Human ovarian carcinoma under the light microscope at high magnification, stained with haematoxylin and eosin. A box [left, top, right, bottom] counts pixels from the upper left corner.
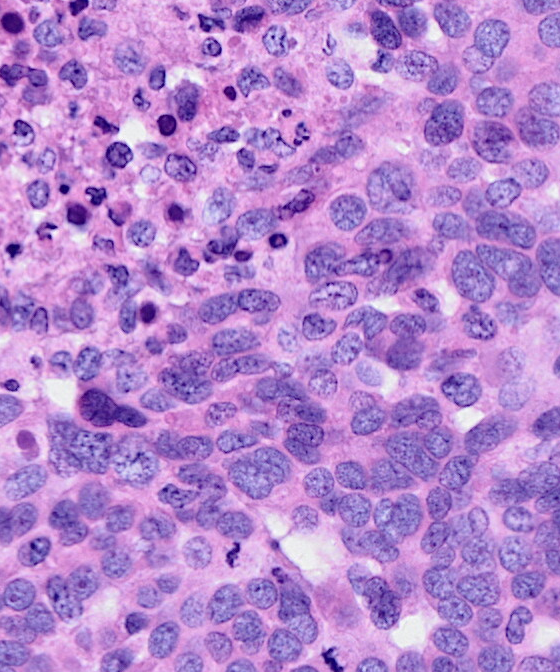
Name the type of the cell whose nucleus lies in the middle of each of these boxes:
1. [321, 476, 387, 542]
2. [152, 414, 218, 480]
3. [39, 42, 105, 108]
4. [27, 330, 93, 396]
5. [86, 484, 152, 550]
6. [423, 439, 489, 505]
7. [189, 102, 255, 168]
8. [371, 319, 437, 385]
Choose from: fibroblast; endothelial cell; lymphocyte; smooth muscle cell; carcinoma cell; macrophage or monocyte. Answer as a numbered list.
1. carcinoma cell
2. carcinoma cell
3. macrophage or monocyte
4. macrophage or monocyte
5. carcinoma cell
6. carcinoma cell
7. macrophage or monocyte
8. carcinoma cell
